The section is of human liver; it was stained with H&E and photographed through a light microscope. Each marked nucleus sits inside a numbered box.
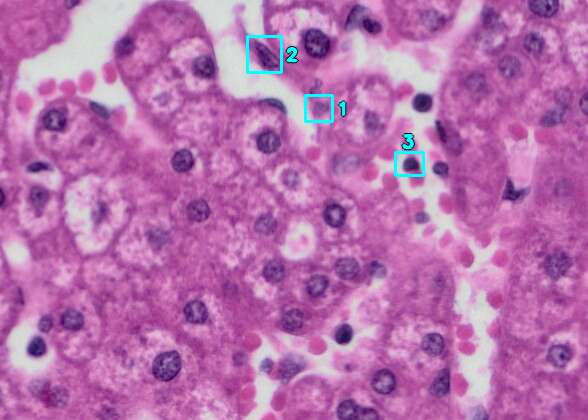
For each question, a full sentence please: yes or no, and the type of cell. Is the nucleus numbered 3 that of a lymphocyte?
Yes, looking at number 3, that cell is a lymphocyte.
